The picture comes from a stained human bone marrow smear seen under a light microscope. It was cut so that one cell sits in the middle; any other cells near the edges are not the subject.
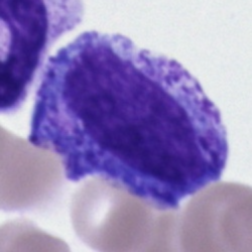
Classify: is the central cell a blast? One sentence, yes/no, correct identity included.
No, the cell in the middle should be called a promyelocyte instead of a blast.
